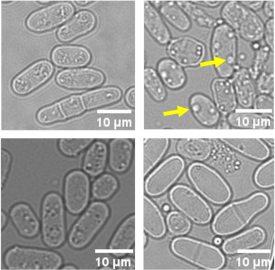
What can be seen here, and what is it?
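These are rod-shaped yeast cells seen in brightfield, with rounded ends and a clearly outlined cell wall. Most cells are single, and a few show a cross wall across the middle, as in dividing cells. The cytoplasm holds small granular inclusions. In one of the images many cells contain round, clear, sharply outlined bodies, and arrows mark enlarged vacuole-like structures among them.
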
